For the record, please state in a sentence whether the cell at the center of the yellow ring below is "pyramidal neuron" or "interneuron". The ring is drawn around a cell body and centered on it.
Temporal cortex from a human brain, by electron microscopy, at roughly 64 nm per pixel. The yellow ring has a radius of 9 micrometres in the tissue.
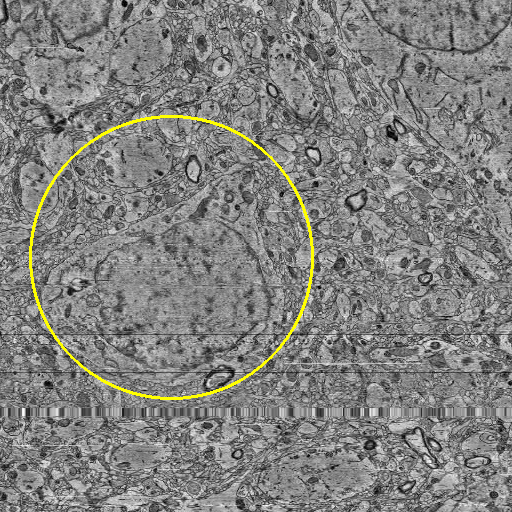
The cell at the ring's center is an interneuron.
